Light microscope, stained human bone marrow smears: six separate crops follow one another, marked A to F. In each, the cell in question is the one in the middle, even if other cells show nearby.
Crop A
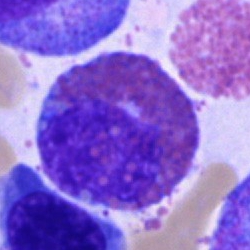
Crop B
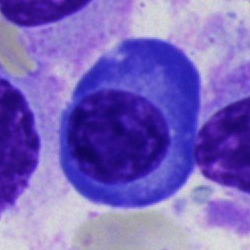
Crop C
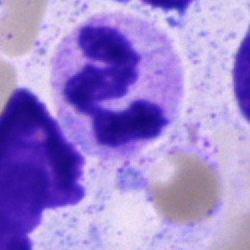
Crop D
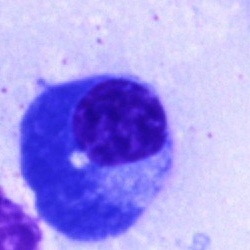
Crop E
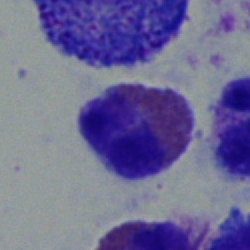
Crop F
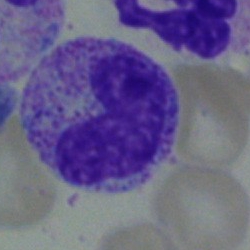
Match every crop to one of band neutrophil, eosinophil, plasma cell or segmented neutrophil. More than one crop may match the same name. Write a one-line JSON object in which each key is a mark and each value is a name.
{"A": "eosinophil", "B": "plasma cell", "C": "segmented neutrophil", "D": "plasma cell", "E": "eosinophil", "F": "band neutrophil"}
